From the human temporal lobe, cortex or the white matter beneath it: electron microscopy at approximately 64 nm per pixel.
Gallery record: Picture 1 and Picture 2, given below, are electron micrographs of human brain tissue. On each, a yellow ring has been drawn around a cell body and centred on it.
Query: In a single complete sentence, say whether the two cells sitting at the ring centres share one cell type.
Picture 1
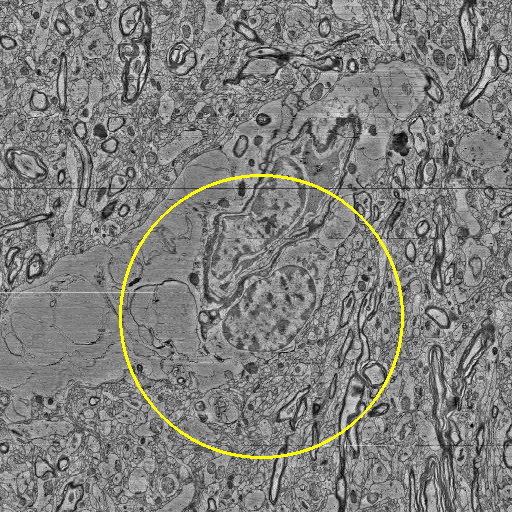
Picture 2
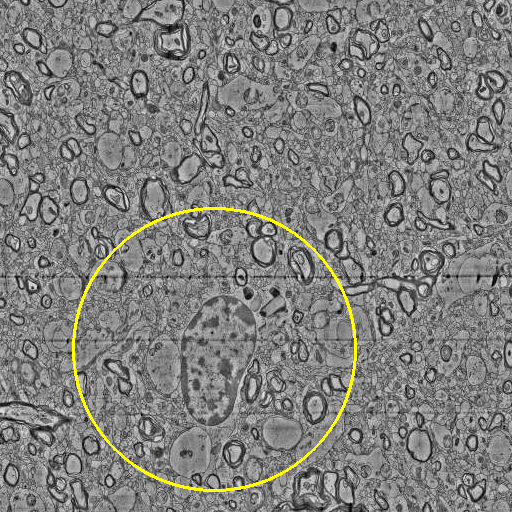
Yes, in both pictures the cell at the ring's centre is of one and the same type.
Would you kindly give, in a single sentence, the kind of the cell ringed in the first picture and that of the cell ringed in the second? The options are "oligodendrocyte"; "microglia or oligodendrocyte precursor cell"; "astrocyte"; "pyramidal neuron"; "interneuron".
Both pictures show a microglial cell or oligodendrocyte precursor cell at the centre of the ring.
